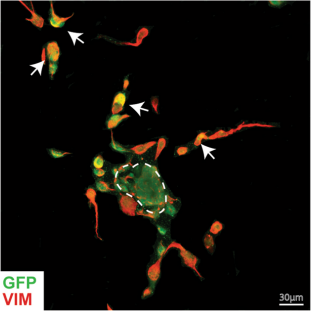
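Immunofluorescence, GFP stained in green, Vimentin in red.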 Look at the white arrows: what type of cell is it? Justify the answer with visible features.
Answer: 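The arrowed cells lie outside the central cluster. Several arrowed cells are elongated with drawn-out extensions pointing away from the cluster. The answer: invasive cells.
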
